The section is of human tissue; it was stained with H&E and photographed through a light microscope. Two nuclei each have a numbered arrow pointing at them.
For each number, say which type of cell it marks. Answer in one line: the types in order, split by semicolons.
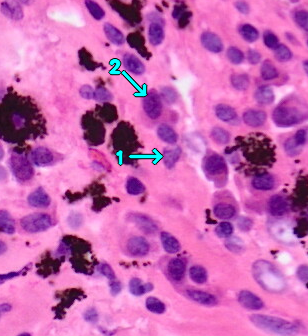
lymphocyte; plasma cell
